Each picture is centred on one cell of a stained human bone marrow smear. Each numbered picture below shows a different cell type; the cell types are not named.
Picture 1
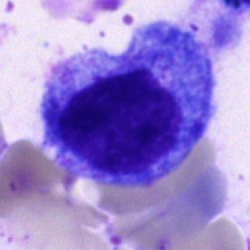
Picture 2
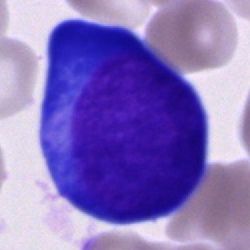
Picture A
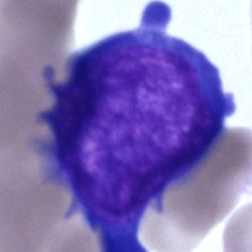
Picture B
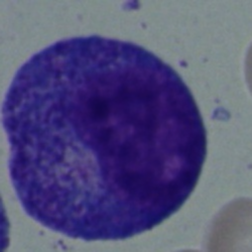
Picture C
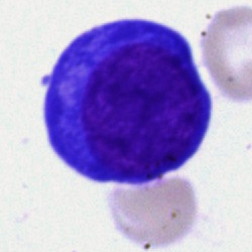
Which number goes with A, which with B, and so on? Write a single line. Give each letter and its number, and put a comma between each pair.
A 2, B 1, C 2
